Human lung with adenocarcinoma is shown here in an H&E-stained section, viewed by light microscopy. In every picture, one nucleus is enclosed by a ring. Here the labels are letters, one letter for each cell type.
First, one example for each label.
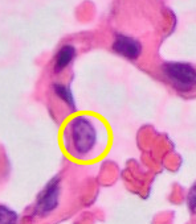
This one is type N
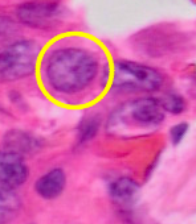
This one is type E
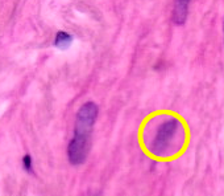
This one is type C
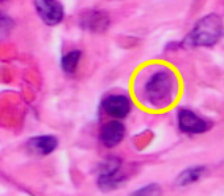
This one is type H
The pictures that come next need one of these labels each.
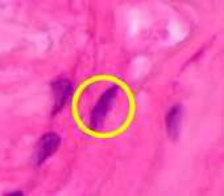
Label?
type C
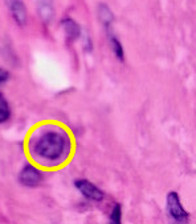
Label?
type H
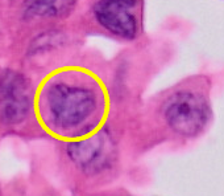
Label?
type E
